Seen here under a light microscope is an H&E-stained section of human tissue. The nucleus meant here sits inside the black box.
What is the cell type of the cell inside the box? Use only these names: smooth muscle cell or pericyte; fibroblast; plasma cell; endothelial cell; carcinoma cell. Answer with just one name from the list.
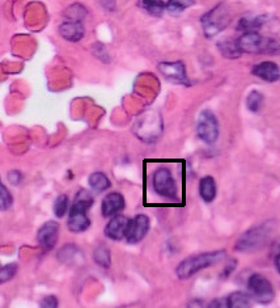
plasma cell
